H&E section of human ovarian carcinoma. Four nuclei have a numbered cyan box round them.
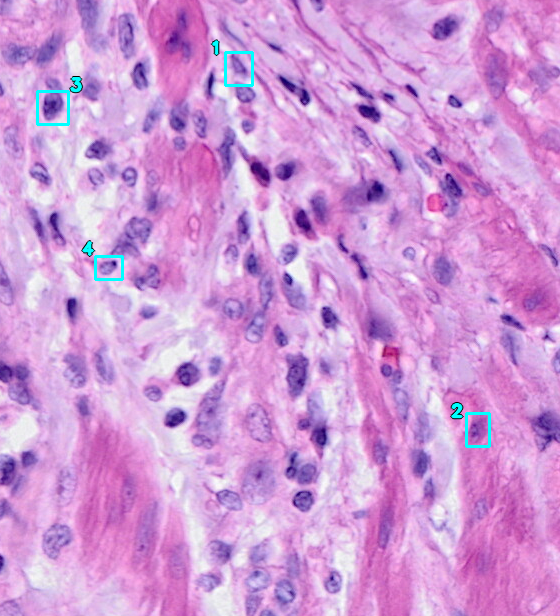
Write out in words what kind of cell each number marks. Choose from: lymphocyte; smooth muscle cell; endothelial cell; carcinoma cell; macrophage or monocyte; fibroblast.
Cell 1 is a fibroblast. Cell 2 is a smooth muscle cell. Cells 3 and 4 are lymphocytes.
